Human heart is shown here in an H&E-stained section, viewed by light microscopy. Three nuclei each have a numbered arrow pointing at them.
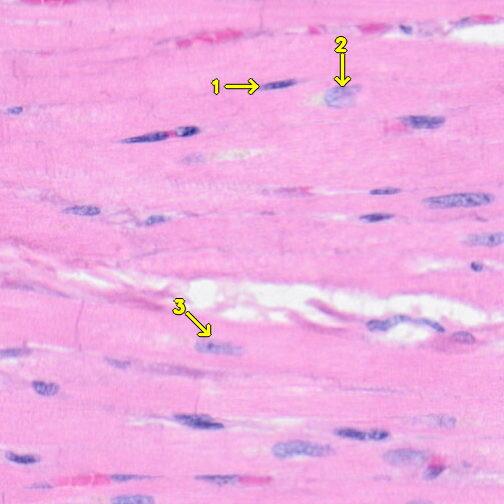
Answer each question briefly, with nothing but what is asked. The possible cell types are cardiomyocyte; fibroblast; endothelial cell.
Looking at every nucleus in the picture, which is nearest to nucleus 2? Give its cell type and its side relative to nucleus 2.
an endothelial cell to the left of nucleus 2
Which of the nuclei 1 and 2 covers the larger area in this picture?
2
